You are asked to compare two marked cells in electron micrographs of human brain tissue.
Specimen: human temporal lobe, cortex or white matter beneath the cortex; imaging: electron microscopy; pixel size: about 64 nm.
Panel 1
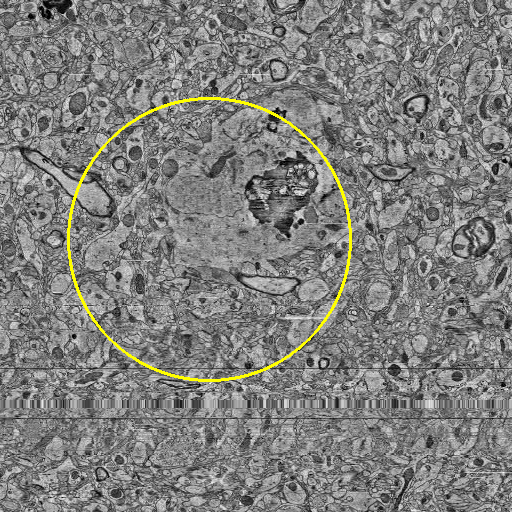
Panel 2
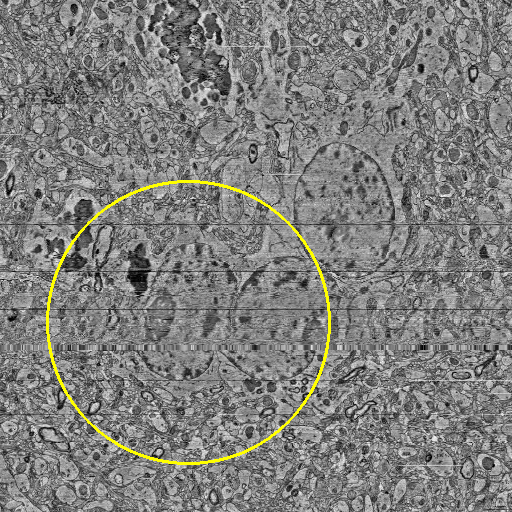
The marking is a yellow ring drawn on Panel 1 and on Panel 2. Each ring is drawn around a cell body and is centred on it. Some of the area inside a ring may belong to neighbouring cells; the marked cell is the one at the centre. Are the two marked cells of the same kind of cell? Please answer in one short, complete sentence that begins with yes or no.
Yes, the two marked cells are of the same kind.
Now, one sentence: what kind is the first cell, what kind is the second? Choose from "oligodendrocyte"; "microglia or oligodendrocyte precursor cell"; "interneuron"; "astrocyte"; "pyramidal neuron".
In each of the two pictures, the ringed cell is an astrocyte.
